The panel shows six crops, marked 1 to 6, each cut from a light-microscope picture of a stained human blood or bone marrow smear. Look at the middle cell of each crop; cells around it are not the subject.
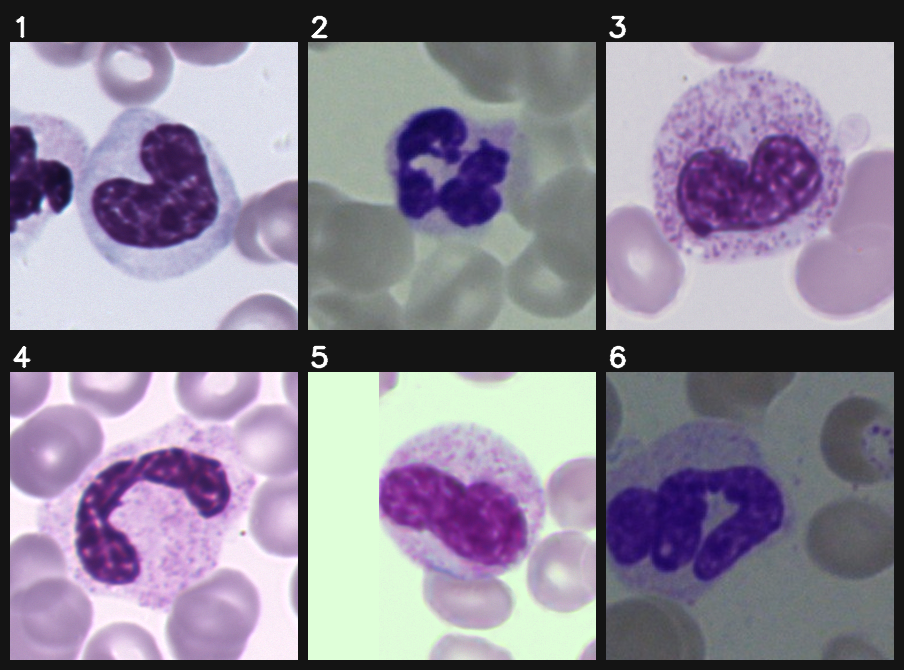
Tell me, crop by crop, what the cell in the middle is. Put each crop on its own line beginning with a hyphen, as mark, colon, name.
- 1: band neutrophil
- 2: segmented neutrophil
- 3: band neutrophil
- 4: segmented neutrophil
- 5: band neutrophil
- 6: segmented neutrophil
